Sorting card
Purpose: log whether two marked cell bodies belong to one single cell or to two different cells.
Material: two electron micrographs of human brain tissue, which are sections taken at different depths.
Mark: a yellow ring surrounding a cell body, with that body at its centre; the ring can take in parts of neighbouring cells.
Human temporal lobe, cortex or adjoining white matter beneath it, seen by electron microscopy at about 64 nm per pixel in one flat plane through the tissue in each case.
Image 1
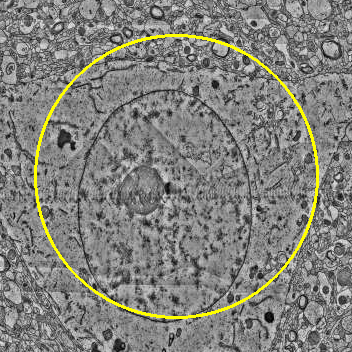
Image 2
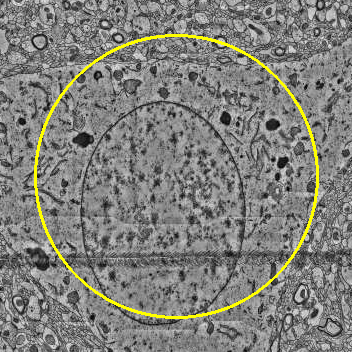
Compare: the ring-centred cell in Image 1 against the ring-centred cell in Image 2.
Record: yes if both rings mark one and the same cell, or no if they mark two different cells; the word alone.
yes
